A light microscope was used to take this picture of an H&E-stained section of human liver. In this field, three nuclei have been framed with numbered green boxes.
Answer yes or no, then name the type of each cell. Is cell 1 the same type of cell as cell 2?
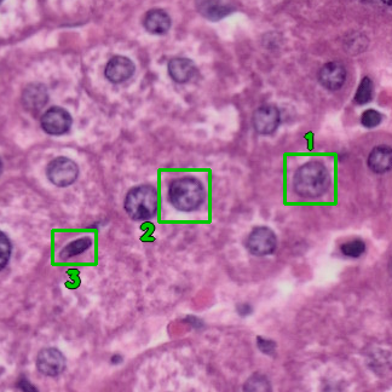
Yes, both are hepatocytes.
